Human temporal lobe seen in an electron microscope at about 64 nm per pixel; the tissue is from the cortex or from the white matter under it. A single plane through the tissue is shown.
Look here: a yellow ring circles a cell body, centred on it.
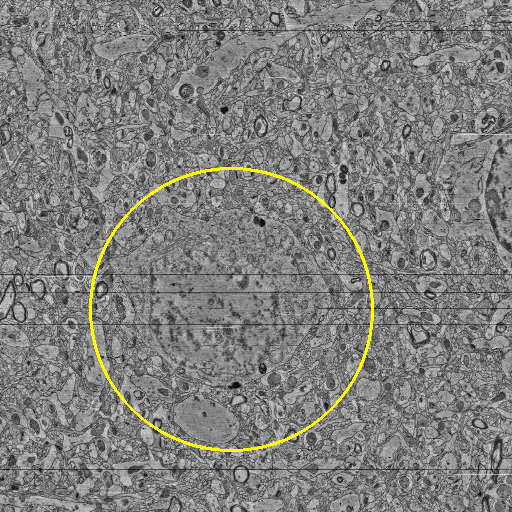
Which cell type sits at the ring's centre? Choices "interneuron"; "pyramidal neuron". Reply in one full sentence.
The cell at the centre of the yellow ring in the picture is an interneuron.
